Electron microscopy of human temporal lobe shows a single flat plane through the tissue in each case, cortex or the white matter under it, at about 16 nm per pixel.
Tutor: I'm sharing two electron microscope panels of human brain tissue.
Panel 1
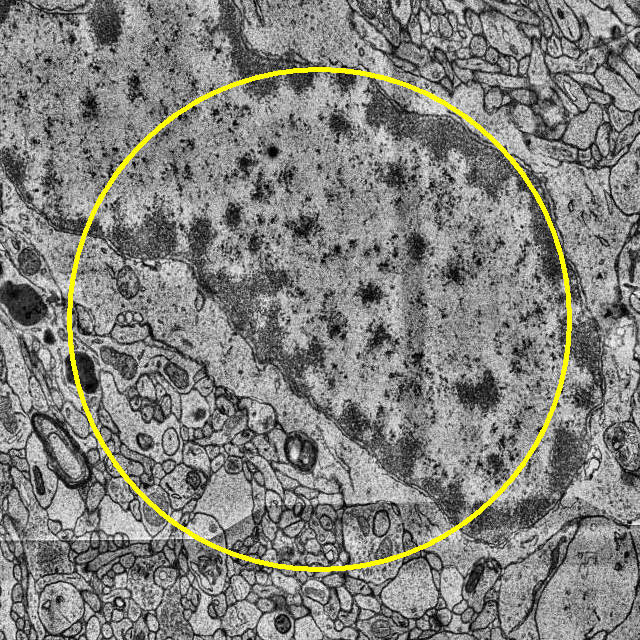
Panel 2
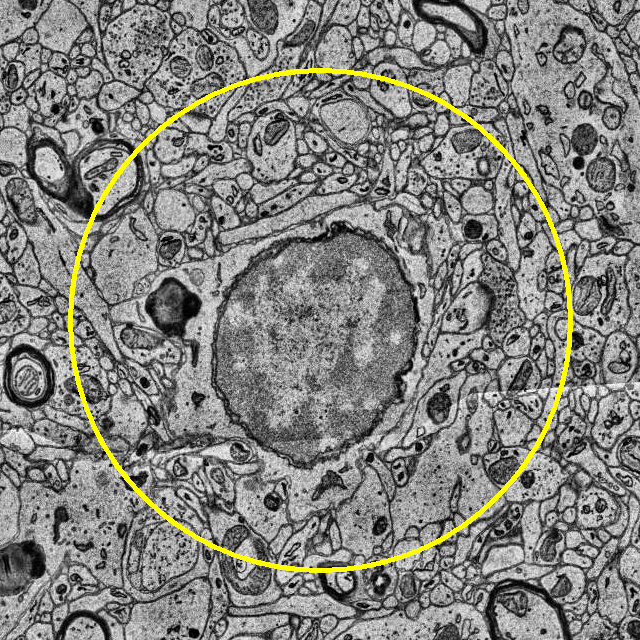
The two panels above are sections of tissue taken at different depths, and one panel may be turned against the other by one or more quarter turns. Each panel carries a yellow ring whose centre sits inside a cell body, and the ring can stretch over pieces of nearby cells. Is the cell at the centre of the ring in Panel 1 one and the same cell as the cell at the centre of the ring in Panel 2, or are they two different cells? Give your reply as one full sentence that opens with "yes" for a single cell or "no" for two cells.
No, each ring encloses a different cell in the tissue.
